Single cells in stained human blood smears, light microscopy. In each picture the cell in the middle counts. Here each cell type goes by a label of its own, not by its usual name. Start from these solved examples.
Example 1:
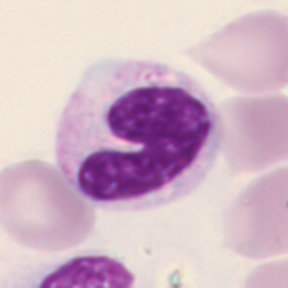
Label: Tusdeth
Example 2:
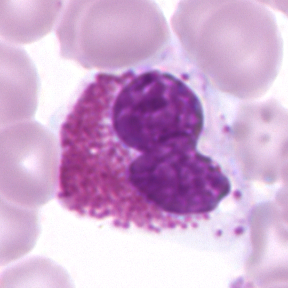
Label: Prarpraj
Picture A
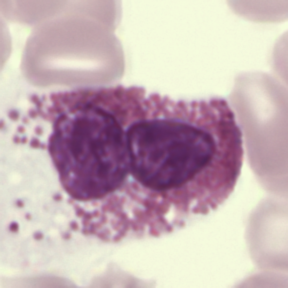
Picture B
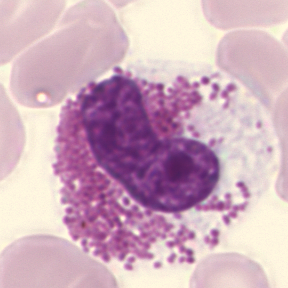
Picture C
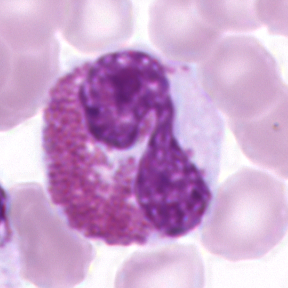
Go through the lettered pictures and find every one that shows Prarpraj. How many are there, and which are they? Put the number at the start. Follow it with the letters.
3, namely A, B, C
